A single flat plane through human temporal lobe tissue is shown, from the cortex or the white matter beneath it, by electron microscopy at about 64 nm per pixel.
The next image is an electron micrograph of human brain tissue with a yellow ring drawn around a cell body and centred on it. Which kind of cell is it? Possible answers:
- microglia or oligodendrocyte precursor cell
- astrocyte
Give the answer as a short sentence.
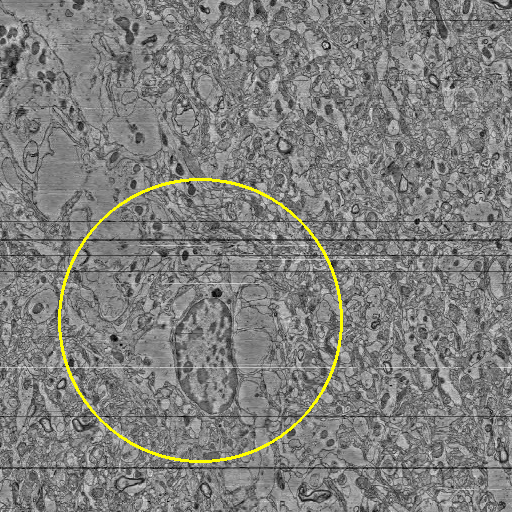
In the ring's centre is a microglial cell or oligodendrocyte precursor cell.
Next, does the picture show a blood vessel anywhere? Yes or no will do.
Yes.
